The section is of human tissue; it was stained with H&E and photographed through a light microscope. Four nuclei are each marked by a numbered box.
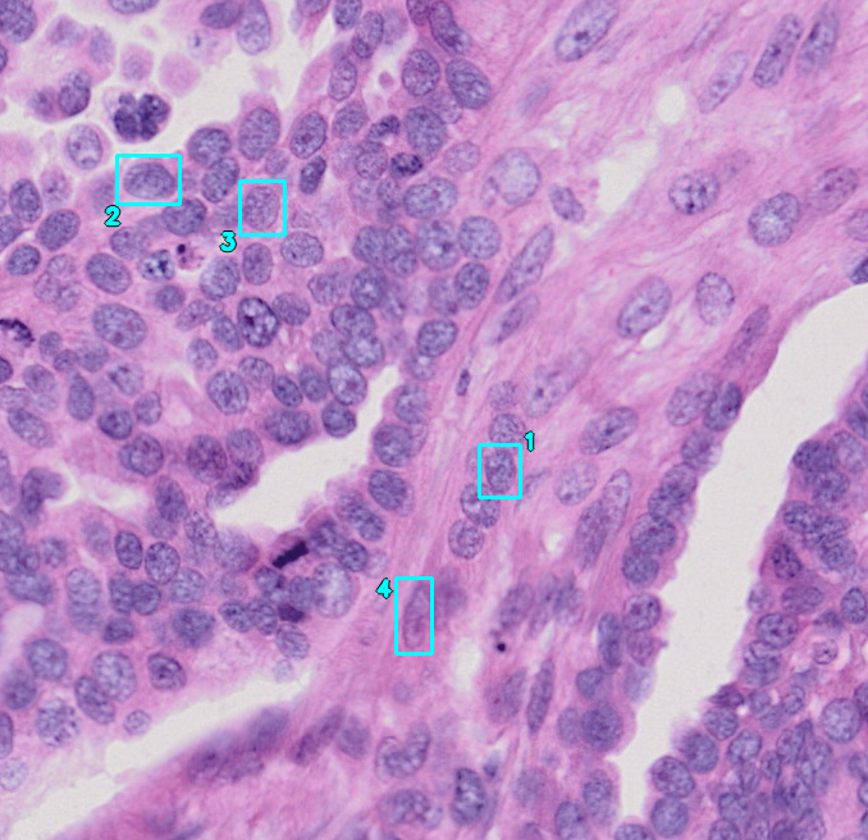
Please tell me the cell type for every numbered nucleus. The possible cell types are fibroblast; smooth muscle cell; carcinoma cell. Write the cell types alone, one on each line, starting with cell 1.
carcinoma cell
carcinoma cell
carcinoma cell
fibroblast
